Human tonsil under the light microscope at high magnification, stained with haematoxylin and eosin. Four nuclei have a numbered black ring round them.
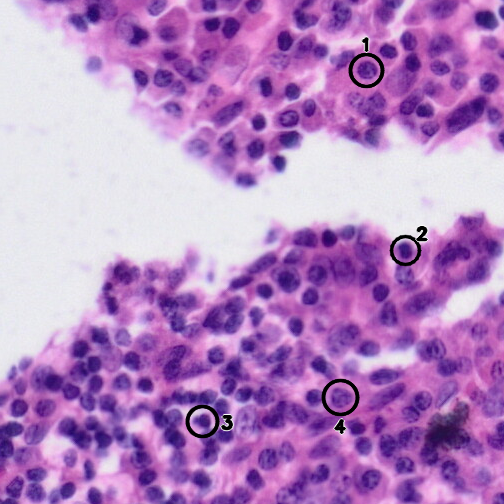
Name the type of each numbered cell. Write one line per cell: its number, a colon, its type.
1: plasma cell
2: plasma cell
3: small lymphocyte
4: plasma cell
